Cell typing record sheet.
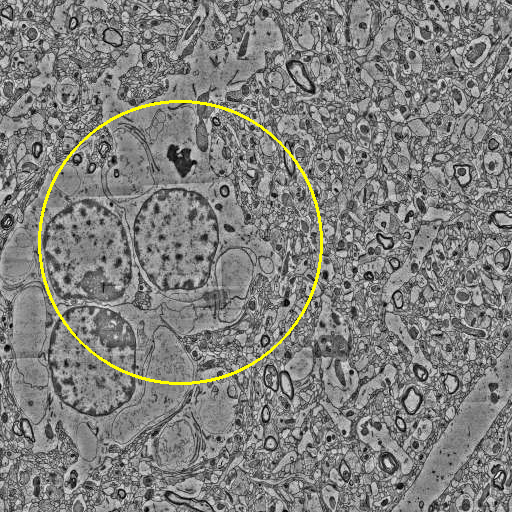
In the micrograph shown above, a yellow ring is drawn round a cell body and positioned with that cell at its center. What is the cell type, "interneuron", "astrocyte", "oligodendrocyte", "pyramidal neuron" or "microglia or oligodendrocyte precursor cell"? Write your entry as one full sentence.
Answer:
The cell body at the center of the ring belongs to an astrocyte.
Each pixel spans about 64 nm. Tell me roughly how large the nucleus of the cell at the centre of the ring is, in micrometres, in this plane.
Approximately 7 micrometres long and 5 micrometres wide, in this plane.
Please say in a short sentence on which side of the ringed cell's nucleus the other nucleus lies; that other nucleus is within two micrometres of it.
The other nucleus is located to the left of it.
